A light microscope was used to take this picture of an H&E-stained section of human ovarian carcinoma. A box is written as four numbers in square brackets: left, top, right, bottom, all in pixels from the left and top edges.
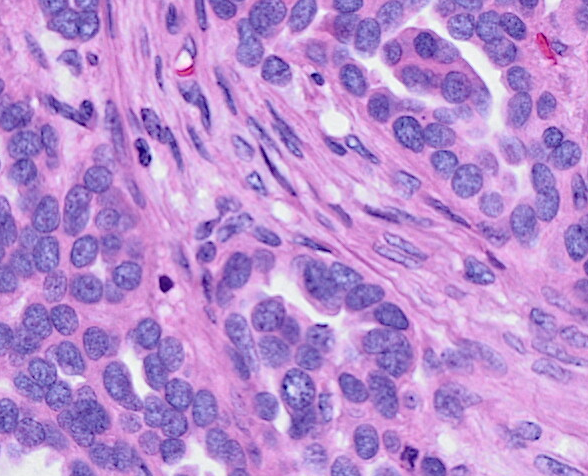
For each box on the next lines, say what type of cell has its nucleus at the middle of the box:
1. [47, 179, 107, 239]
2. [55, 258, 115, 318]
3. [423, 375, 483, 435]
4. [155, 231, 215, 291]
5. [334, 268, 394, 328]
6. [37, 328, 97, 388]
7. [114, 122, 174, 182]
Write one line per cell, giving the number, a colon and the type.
1: carcinoma cell
2: carcinoma cell
3: fibroblast
4: fibroblast
5: carcinoma cell
6: carcinoma cell
7: lymphocyte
